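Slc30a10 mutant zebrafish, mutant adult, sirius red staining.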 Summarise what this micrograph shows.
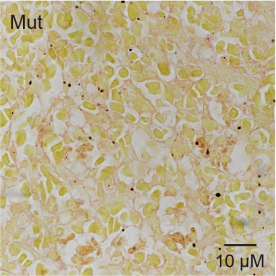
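The red strands run between and around small groups of cells across the whole field, the picture of fibrosis. The cells look less evenly packed than in a healthy liver, with paler spaces between them, and a few small dark dots are scattered through the tissue.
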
